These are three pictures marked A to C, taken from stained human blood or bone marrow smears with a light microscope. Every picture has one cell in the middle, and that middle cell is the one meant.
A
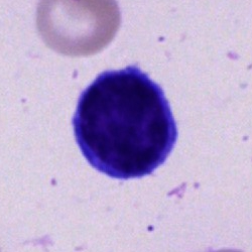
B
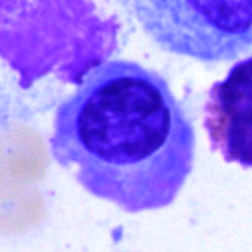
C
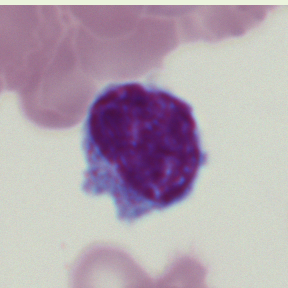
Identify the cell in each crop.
A: lymphocyte
B: plasma cell
C: lymphocyte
